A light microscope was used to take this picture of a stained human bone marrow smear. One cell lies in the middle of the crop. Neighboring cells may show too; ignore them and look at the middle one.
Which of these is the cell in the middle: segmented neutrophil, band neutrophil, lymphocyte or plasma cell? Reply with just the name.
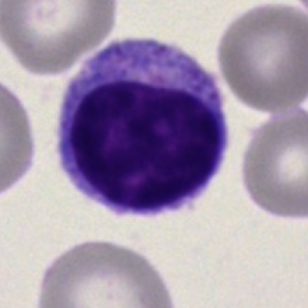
lymphocyte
